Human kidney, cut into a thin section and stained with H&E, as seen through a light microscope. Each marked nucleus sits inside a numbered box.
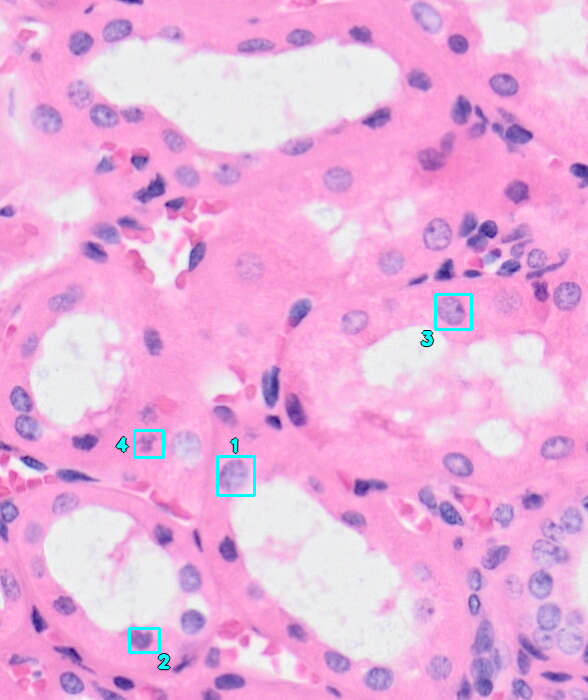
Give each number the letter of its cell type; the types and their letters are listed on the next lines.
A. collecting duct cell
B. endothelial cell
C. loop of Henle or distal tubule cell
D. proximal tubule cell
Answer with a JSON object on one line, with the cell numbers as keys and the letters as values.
{"1": "C", "2": "C", "3": "D", "4": "C"}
